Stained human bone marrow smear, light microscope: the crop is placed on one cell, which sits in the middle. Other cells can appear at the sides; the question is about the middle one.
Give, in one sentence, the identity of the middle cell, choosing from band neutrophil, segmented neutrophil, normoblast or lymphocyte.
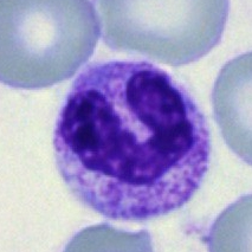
Seen at the centre of the crop is a segmented neutrophil.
